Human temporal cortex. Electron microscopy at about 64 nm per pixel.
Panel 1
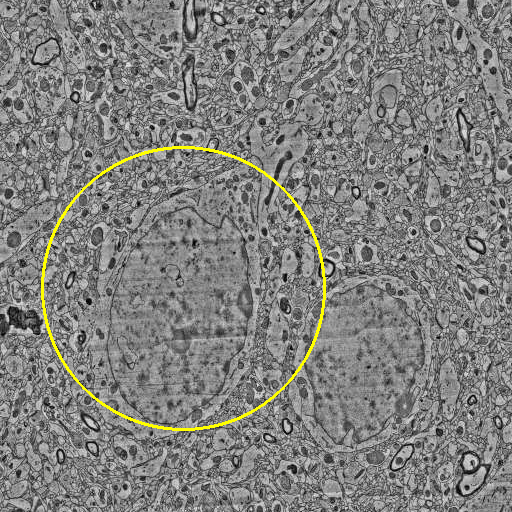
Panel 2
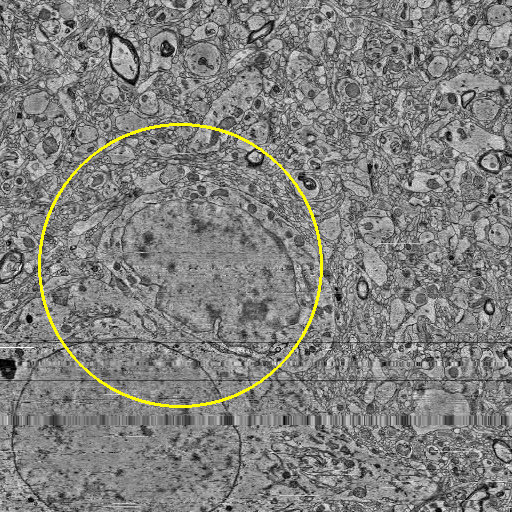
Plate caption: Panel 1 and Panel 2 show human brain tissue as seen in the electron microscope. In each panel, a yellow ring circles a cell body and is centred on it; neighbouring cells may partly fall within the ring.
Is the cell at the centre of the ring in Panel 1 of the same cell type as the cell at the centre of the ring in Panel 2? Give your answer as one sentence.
Yes, the two cells are of the same type.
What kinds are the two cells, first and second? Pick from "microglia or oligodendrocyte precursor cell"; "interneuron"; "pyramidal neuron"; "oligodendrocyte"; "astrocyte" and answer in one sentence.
Both pictures show an interneuron at the centre of the ring.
